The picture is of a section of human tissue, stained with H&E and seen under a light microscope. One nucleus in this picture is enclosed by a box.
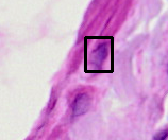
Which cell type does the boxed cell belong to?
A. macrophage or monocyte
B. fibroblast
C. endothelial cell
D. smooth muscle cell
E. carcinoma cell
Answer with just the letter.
D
